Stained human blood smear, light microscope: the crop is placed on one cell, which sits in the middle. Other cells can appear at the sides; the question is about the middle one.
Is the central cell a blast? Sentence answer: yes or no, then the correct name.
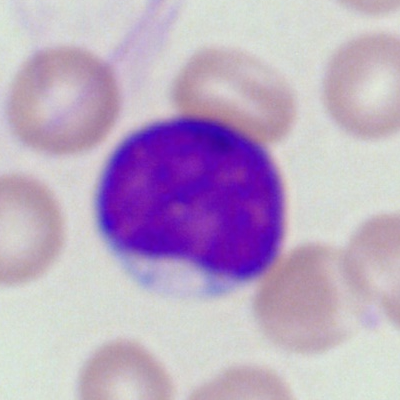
Yes, the cell sitting in the center is a blast.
